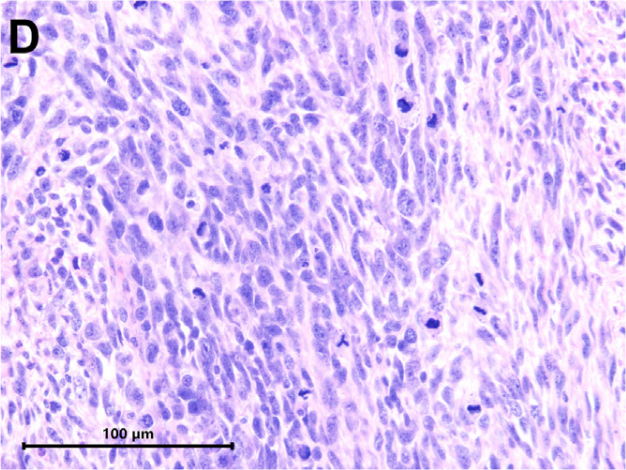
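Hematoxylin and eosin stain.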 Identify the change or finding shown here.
High mitotic activity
